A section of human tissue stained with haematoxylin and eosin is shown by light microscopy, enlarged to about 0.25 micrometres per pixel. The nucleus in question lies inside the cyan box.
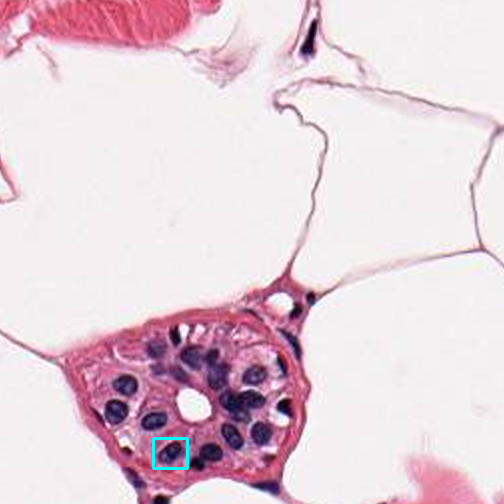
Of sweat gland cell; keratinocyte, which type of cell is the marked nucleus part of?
sweat gland cell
